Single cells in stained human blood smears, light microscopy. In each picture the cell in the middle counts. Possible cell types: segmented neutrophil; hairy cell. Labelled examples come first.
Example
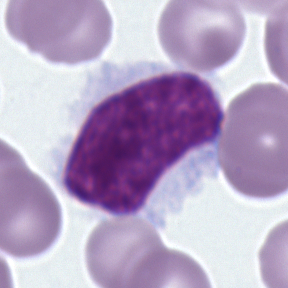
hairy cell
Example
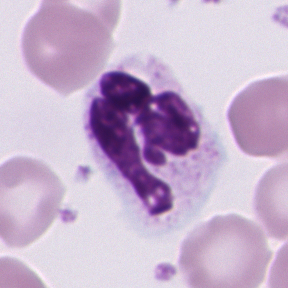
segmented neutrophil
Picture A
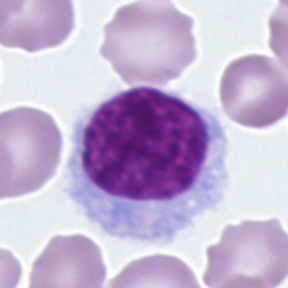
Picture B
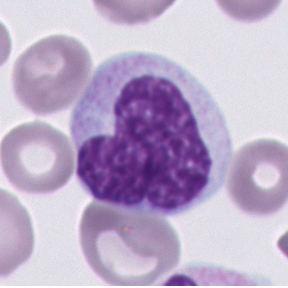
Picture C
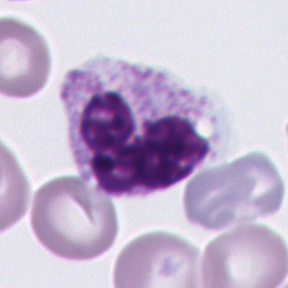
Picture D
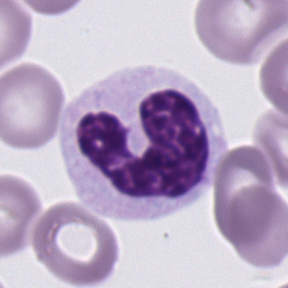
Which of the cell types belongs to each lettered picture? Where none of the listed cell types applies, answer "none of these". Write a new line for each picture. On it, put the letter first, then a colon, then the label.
A: hairy cell
B: none of these
C: segmented neutrophil
D: none of these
